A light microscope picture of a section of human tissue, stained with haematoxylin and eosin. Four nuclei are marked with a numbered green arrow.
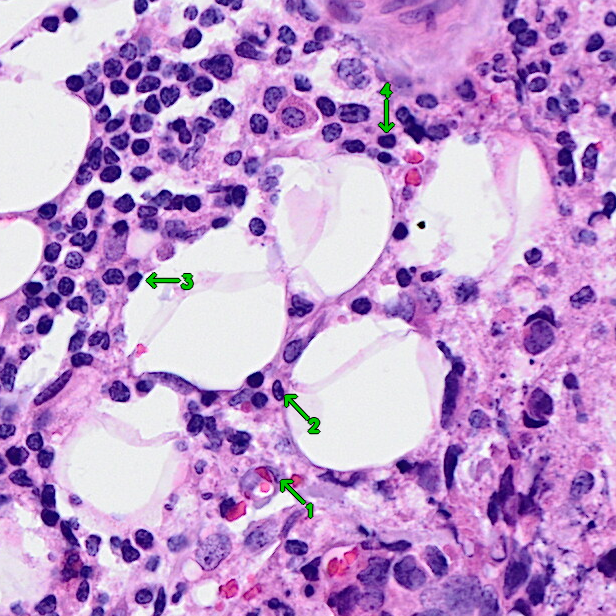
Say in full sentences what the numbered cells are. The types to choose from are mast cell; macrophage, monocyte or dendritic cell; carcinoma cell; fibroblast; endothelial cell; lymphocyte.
Cell 1 is an endothelial cell. Cells 2, 3 and 4 are lymphocytes.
